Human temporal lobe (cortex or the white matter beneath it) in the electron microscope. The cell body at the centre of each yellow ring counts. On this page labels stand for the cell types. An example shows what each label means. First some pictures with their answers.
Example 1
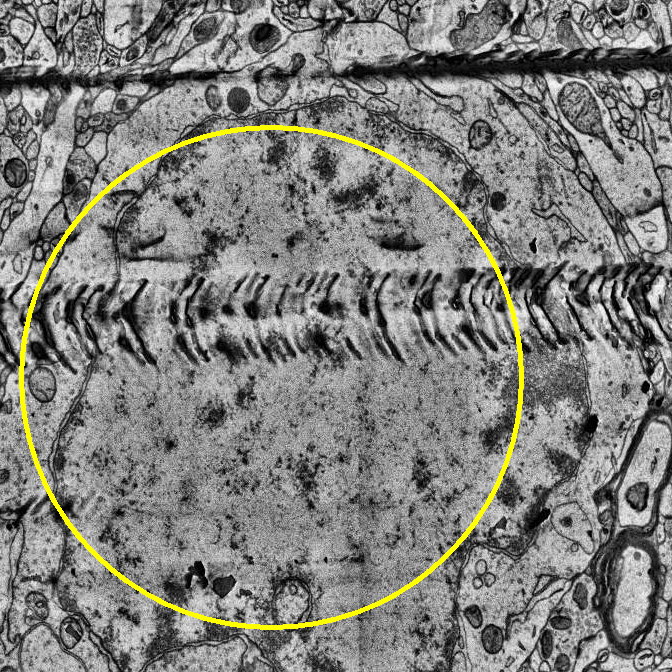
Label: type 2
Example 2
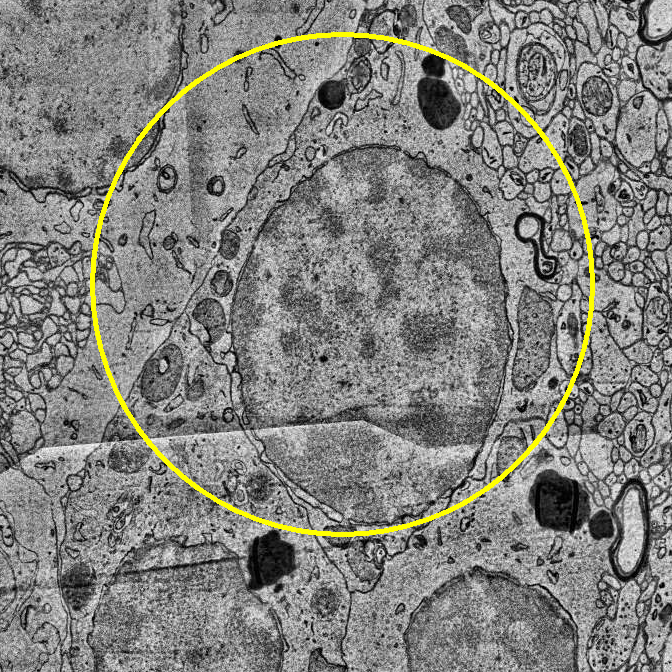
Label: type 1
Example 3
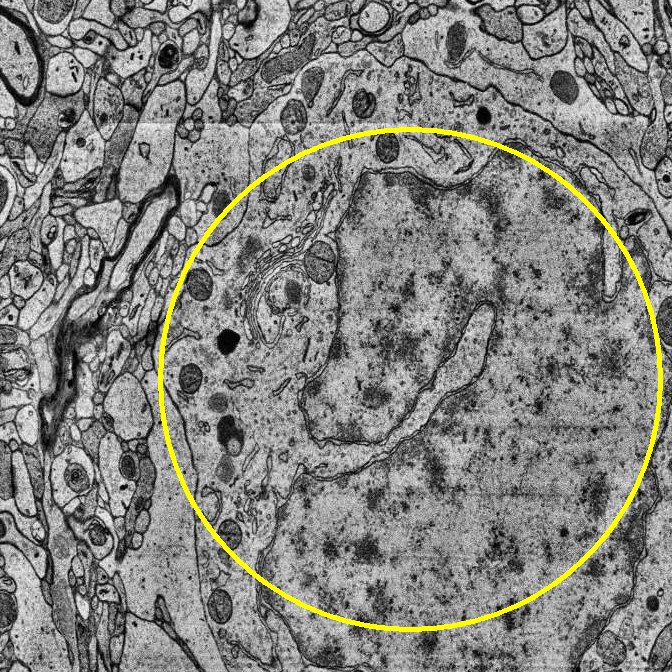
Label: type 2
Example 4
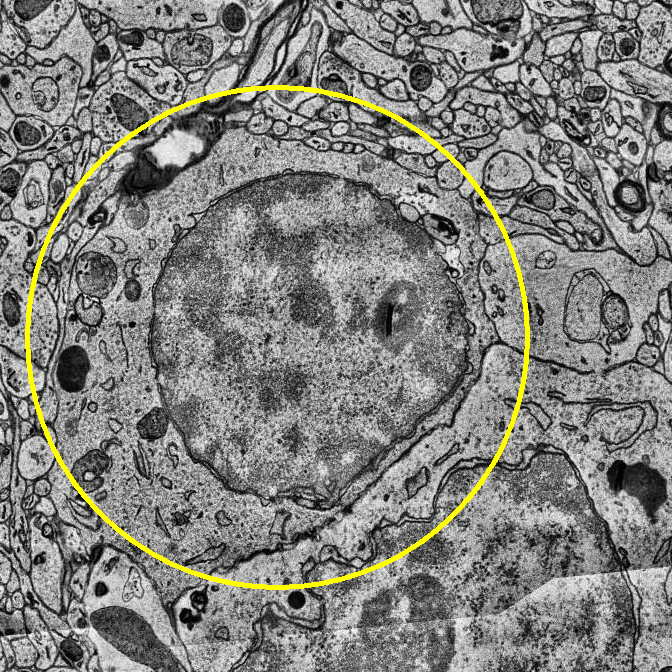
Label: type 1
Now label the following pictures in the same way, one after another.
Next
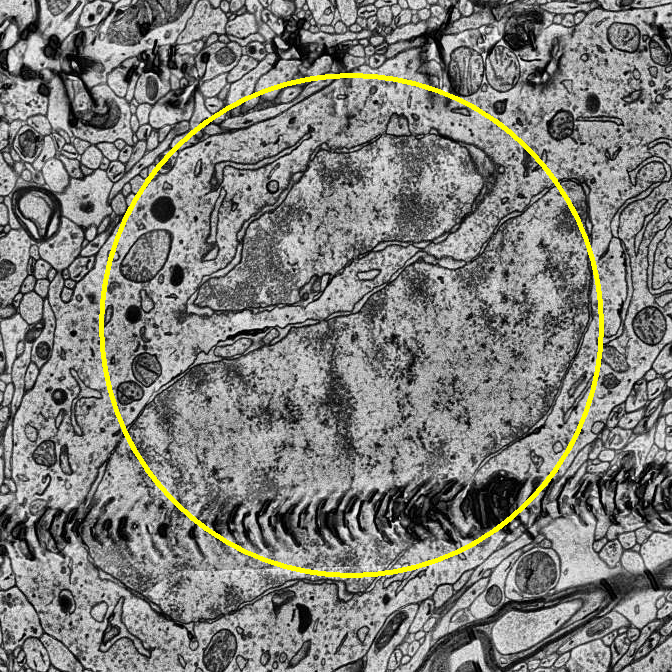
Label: type 2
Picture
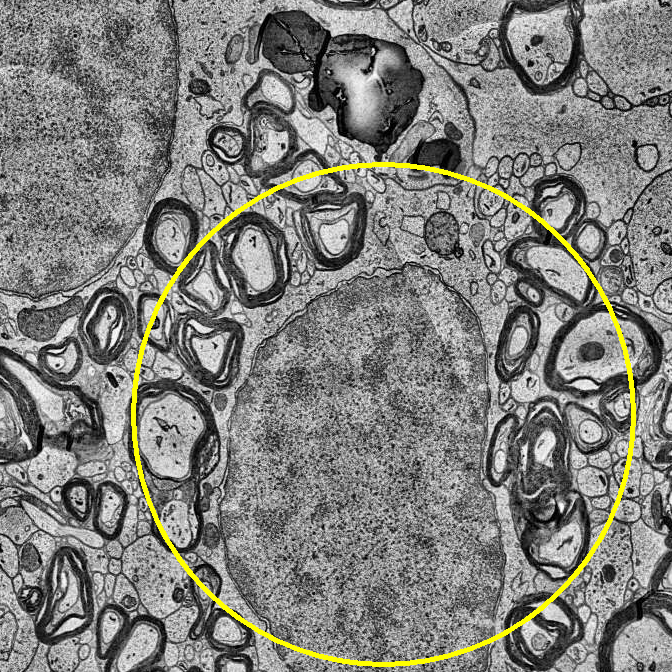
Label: type 1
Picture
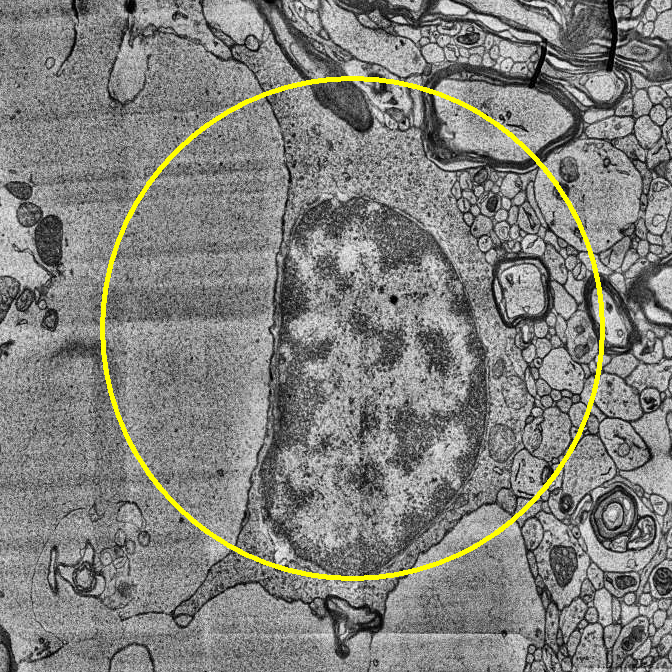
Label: type 1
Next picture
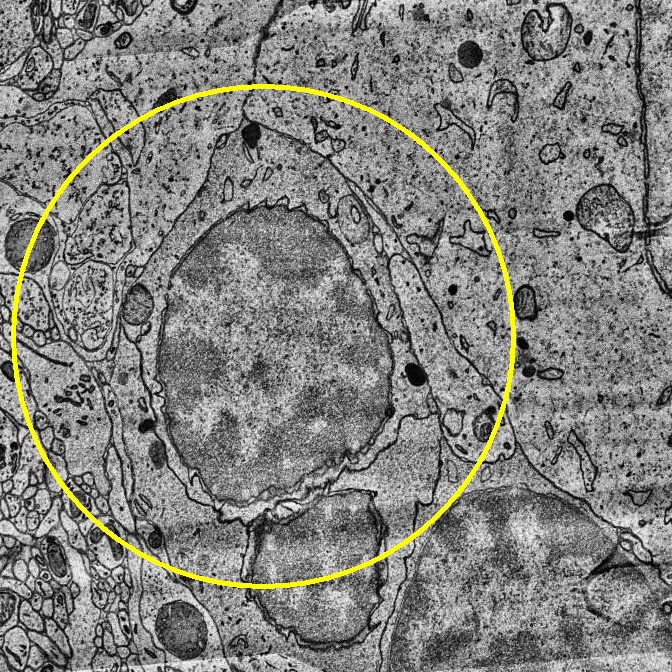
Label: type 1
